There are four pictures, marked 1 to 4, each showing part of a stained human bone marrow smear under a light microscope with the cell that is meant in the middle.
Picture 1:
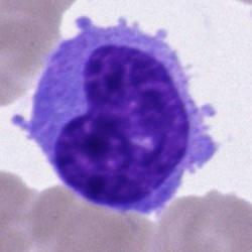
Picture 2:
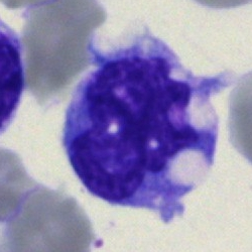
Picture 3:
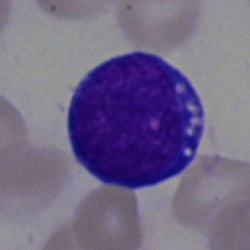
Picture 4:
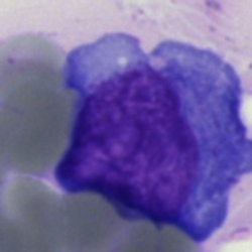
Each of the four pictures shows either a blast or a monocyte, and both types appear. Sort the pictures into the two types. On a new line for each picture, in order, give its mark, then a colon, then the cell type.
1: monocyte
2: monocyte
3: blast
4: blast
